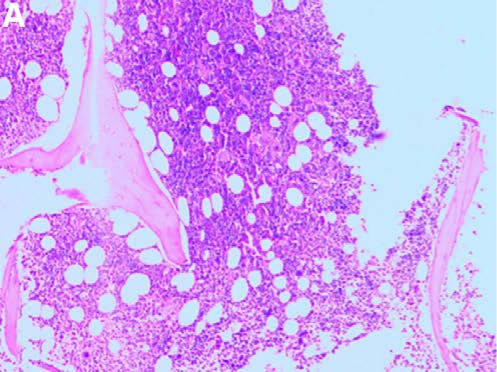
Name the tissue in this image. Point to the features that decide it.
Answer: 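Bone marrow. Pink bony trabeculae cross the field. Spaces between the trabeculae are filled with densely packed small nucleated cells. Round empty fat vacuoles are scattered among the cells.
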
